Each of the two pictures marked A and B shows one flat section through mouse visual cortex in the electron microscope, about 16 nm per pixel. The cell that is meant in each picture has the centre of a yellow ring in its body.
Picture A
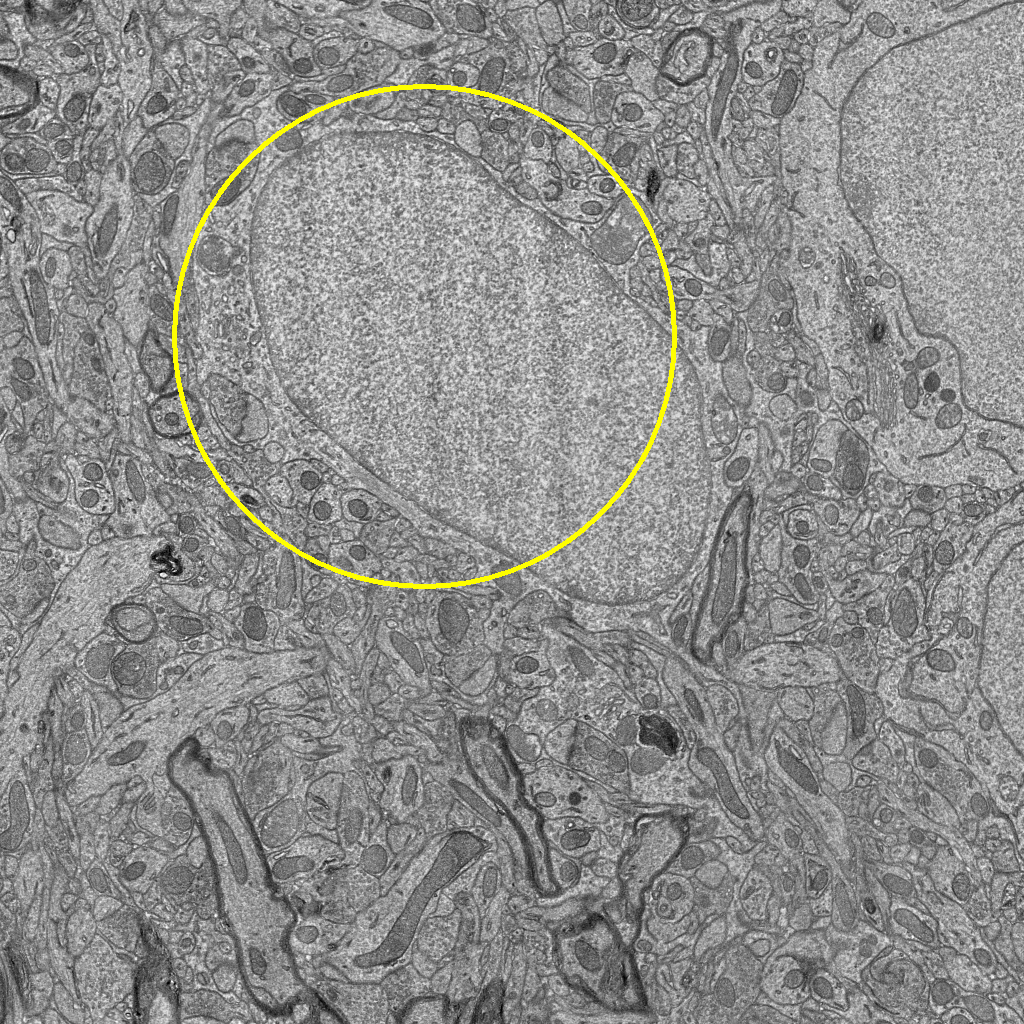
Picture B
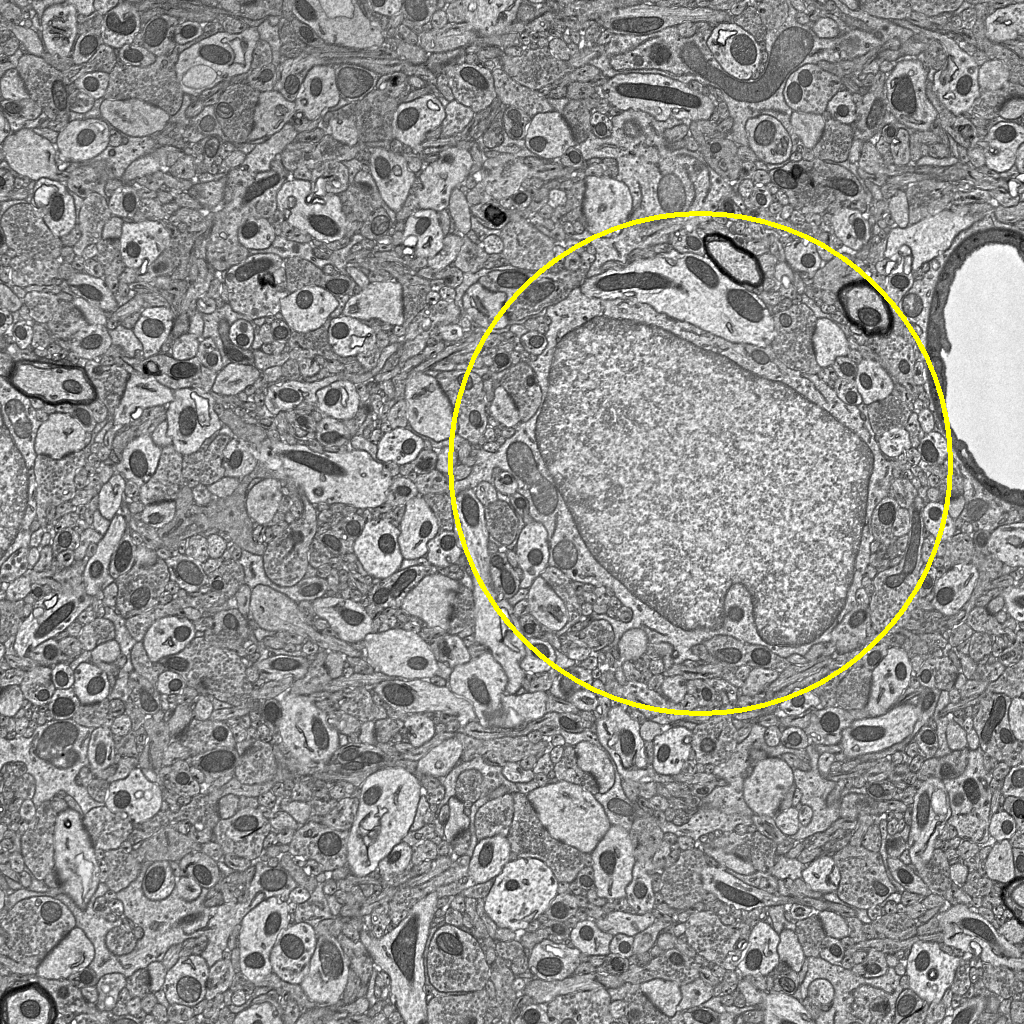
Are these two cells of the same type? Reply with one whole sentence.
Yes; the cells in both pictures are astrocytes.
